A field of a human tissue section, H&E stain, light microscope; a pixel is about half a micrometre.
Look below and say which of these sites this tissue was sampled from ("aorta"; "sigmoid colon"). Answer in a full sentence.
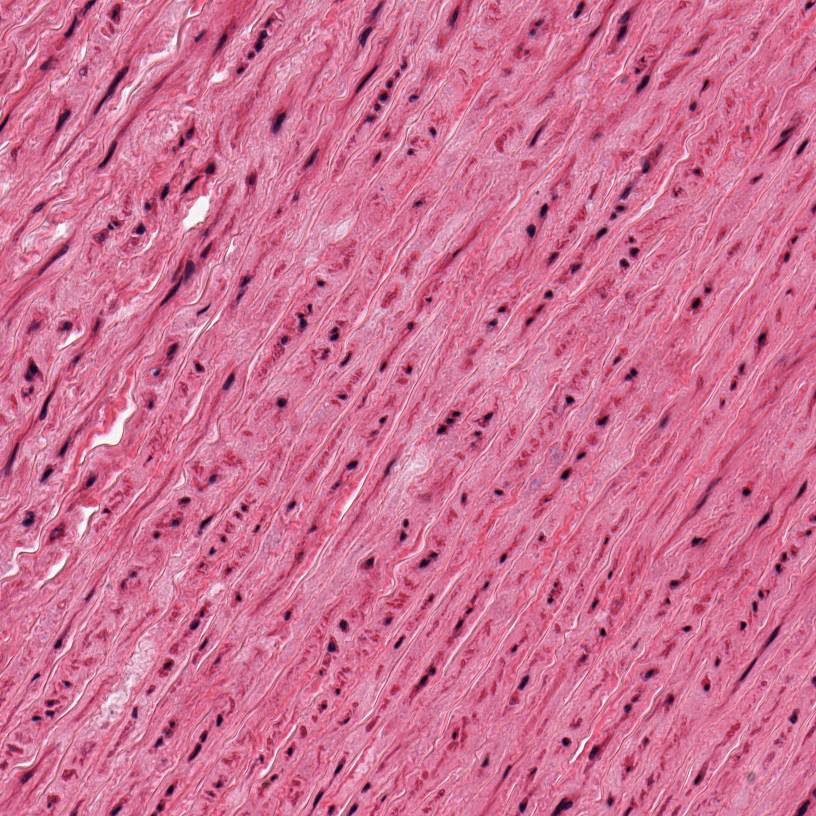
The site this tissue was sampled from is the aorta.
